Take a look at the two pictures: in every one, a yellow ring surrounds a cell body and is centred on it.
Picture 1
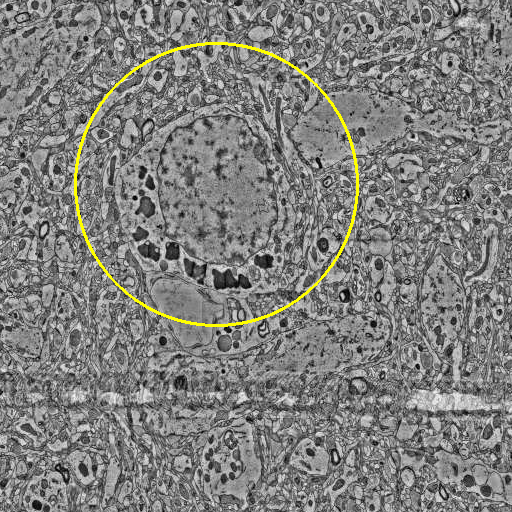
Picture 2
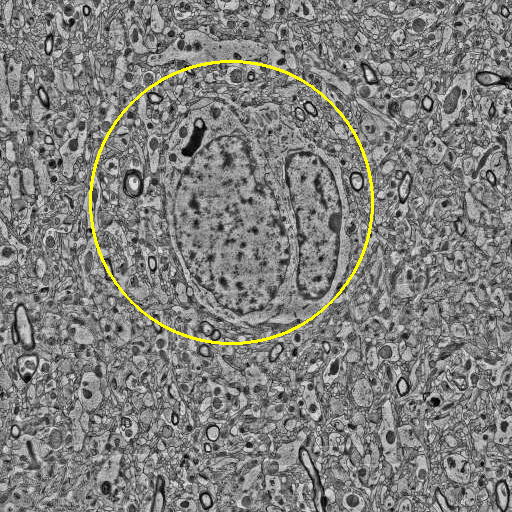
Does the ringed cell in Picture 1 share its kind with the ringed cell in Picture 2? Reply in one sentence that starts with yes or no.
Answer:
Yes, the two centred cells, one per picture, are of one kind.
